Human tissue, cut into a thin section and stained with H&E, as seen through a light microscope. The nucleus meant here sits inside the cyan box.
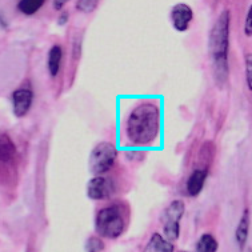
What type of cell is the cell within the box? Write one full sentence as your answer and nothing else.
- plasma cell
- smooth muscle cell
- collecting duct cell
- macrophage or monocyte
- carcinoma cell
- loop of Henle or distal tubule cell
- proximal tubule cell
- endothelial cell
With respect to cell type, the cell within the box is a macrophage or monocyte.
